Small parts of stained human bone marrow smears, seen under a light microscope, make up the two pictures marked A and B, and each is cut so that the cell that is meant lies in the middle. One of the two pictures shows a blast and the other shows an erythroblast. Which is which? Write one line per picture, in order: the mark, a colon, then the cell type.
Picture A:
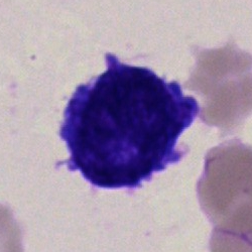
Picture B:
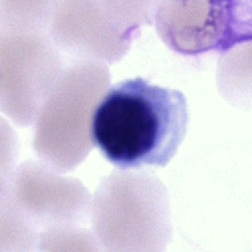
A: blast
B: erythroblast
